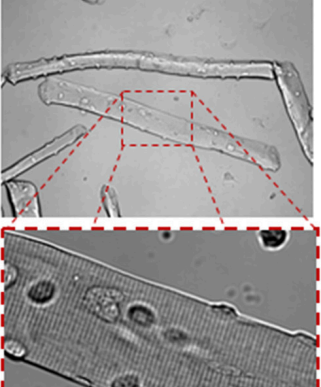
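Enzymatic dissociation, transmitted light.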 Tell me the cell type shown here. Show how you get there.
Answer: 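Skeletal muscle fibers. Long, unbranched, cylindrical cells of uniform width lie singly on the dish.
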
